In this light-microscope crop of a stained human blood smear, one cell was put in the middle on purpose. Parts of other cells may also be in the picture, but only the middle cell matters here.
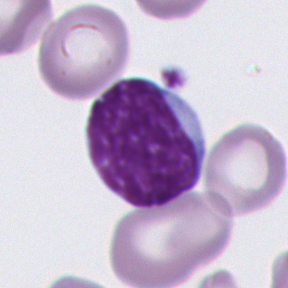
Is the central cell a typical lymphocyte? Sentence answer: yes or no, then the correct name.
Yes, within this crop, the central cell is a typical lymphocyte.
